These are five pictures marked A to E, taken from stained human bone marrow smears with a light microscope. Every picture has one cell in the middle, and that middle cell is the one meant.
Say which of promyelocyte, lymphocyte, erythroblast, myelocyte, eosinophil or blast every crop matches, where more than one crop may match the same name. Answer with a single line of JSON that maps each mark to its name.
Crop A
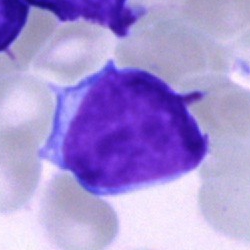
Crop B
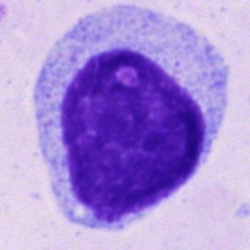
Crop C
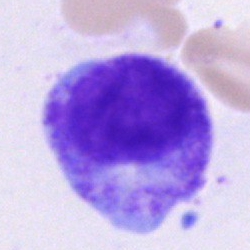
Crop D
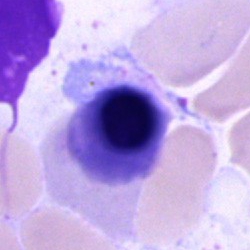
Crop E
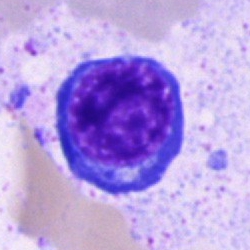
{"A": "blast", "B": "promyelocyte", "C": "promyelocyte", "D": "erythroblast", "E": "erythroblast"}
